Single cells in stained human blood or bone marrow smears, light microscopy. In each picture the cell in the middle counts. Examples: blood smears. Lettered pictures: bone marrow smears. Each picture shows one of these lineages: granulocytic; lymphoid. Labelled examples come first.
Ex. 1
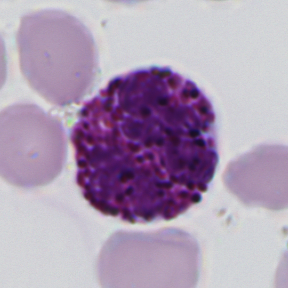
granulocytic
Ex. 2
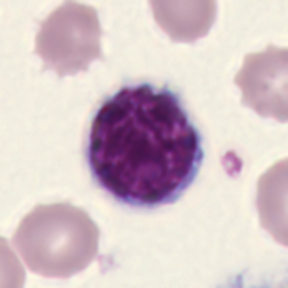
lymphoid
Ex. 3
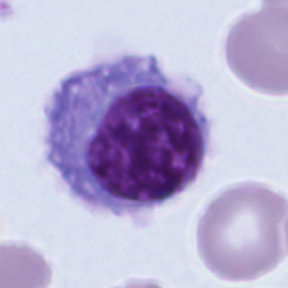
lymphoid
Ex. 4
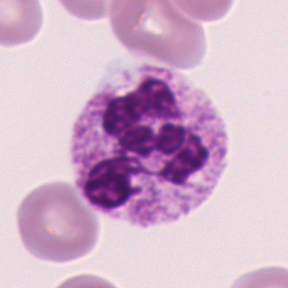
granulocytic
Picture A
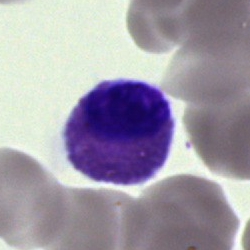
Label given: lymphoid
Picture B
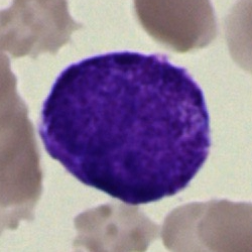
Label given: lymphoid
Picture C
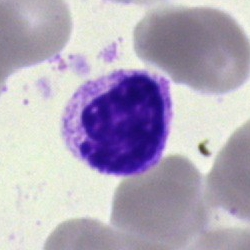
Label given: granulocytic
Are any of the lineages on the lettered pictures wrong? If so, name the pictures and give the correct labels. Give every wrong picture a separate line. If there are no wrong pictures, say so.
A should be granulocytic, not lymphoid
B should be granulocytic, not lymphoid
